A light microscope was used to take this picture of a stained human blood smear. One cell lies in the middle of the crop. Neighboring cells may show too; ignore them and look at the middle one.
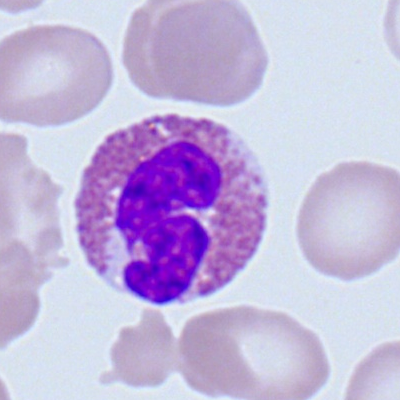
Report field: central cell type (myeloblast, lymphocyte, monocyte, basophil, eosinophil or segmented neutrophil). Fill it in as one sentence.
The cell sitting right in the middle is an eosinophil.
